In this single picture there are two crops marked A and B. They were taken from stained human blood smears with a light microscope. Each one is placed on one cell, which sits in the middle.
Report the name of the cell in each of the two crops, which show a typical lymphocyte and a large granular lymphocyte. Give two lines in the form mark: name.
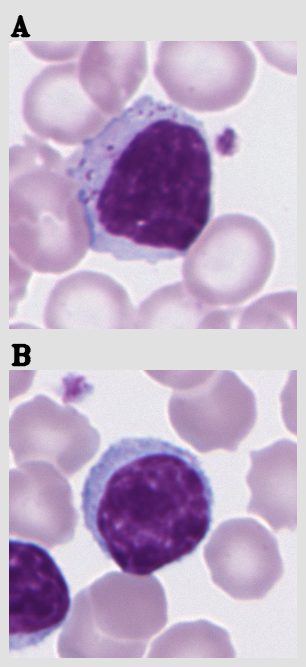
A: large granular lymphocyte
B: typical lymphocyte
